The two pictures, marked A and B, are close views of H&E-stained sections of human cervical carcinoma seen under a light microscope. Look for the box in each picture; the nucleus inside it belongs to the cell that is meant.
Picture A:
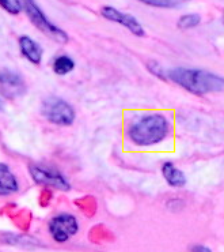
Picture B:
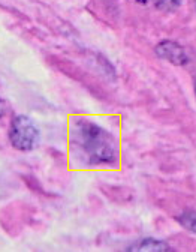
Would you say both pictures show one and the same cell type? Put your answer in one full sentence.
No; the cell in picture A is a “macrophage or monocyte”, while the one in picture B is a fibroblast.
